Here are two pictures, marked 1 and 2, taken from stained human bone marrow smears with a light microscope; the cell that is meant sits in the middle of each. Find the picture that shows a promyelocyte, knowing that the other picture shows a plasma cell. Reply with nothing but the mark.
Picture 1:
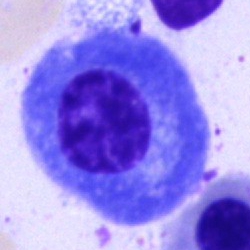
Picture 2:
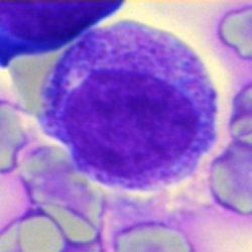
2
